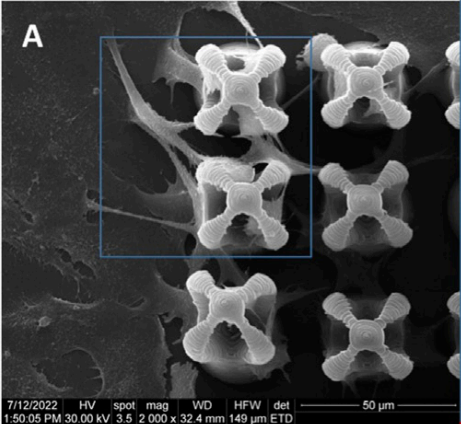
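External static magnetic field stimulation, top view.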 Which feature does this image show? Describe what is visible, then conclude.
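A regular array of identical four-armed three-dimensional structures stands on a flat surface. Each structure has layered, ridged arms meeting at a central ring-patterned top. Flat spread cells with long processes stretch between and over the structures.
Conclusion: microcage-like structures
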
